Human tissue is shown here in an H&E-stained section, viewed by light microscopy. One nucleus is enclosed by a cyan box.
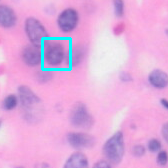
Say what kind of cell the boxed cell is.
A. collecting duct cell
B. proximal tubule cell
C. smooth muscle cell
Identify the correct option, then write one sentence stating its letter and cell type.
Option A gets it right, as the boxed cell is a collecting duct cell.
